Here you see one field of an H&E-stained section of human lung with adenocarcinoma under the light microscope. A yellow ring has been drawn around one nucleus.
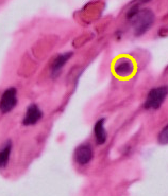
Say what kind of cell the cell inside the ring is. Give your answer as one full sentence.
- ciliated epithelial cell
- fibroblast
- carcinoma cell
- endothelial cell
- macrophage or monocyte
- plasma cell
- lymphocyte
The cell inside the ring appears to be an endothelial cell.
